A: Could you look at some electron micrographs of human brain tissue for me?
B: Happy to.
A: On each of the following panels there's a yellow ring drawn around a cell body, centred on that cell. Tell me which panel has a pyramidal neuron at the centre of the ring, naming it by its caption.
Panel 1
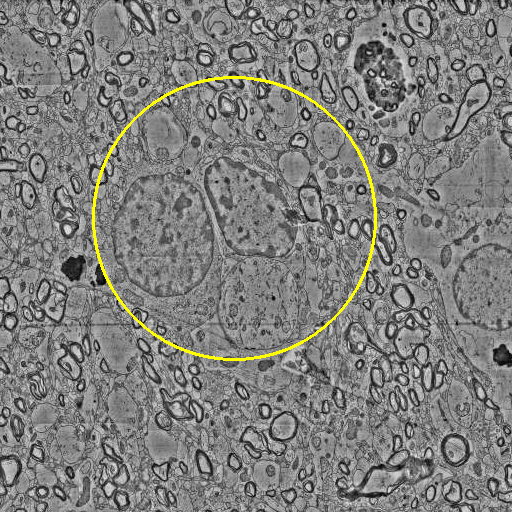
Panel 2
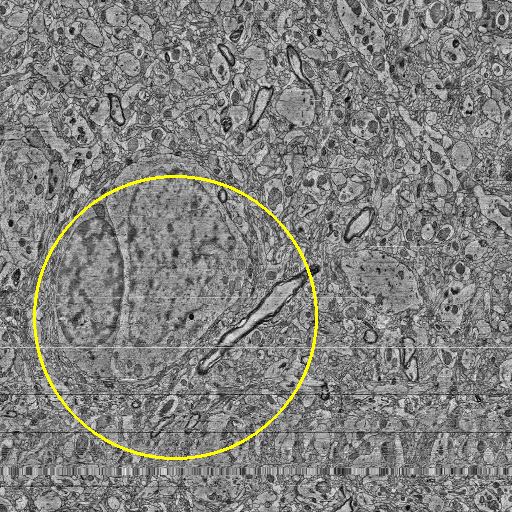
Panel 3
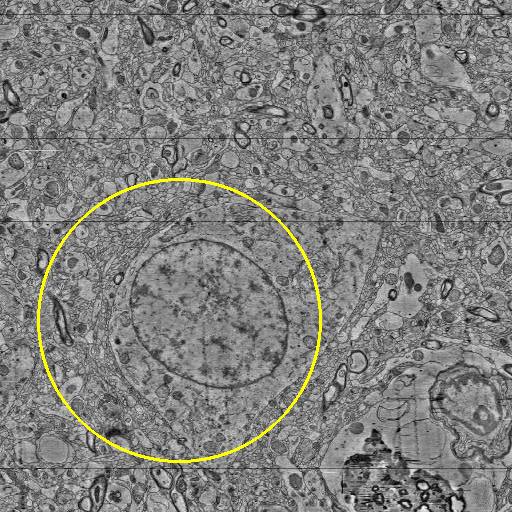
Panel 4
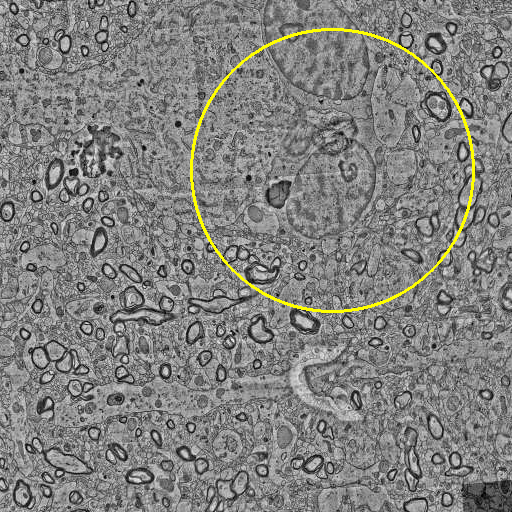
Panel 3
